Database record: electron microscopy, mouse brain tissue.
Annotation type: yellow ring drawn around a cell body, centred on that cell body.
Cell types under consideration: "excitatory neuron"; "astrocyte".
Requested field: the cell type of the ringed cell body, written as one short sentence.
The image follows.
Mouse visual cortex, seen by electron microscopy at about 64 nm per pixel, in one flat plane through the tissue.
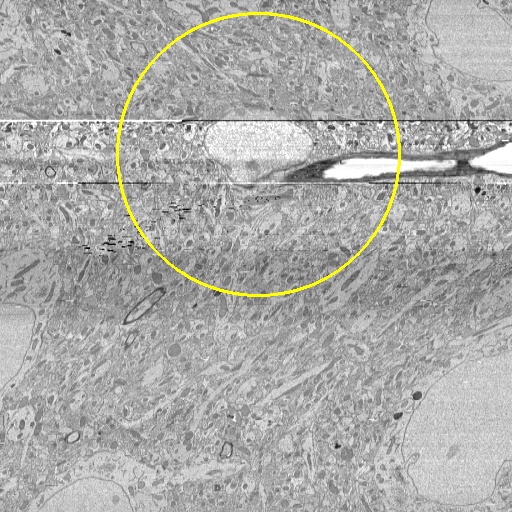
The ringed cell body represents an astrocyte.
